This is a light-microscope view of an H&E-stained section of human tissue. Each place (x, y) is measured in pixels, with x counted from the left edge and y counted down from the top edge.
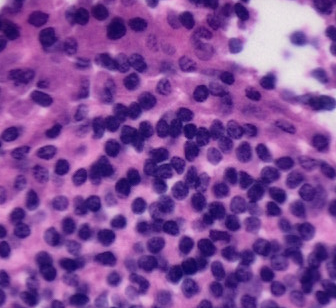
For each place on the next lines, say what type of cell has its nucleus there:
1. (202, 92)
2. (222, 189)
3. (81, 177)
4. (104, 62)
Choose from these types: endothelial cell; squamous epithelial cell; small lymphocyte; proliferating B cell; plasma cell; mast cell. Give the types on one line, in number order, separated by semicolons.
plasma cell; small lymphocyte; small lymphocyte; plasma cell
